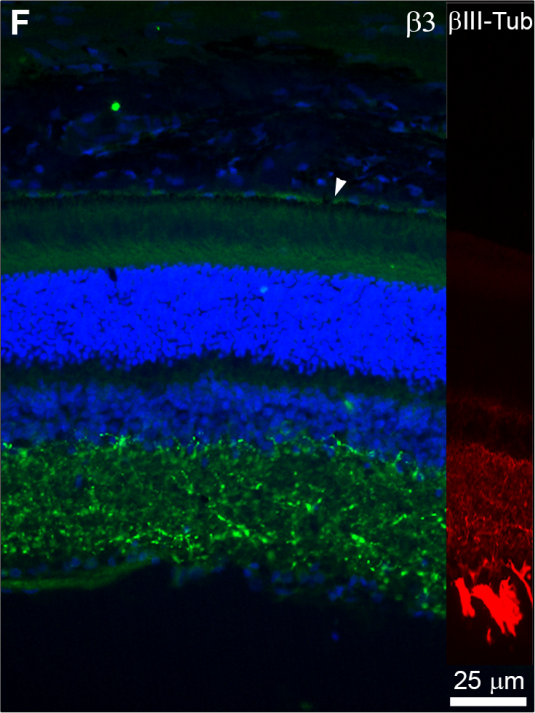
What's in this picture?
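Cross section of the retina showing the blue outer nuclear layer and thinner inner nuclear layer, with a broad band of dense punctate and fibrillar green label in the inner plexiform layer below them. A thin pigment epithelium lies at the outer edge above the outer segments, and a separate red strip alongside shows label concentrated in the innermost retina.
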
